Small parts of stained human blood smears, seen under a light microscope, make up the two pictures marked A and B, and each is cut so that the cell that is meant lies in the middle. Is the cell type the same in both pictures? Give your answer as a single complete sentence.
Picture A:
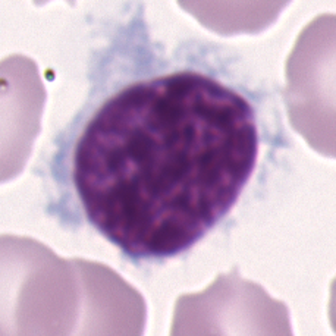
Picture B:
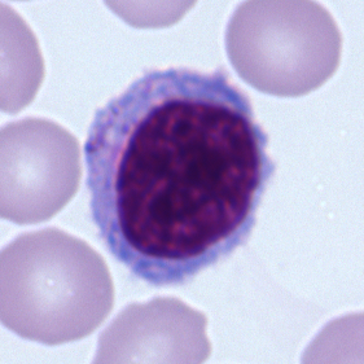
No, the types are not the same, since picture A shows a hairy cell and picture B a typical lymphocyte.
